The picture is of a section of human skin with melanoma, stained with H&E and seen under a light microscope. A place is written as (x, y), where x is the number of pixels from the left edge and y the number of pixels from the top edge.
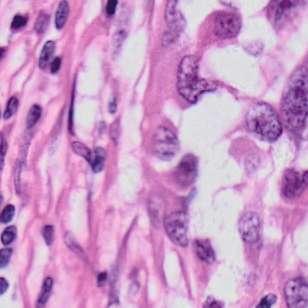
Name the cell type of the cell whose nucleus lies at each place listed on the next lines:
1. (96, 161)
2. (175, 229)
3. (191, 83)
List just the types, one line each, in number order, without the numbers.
lymphocyte
melanoma cell
melanoma cell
